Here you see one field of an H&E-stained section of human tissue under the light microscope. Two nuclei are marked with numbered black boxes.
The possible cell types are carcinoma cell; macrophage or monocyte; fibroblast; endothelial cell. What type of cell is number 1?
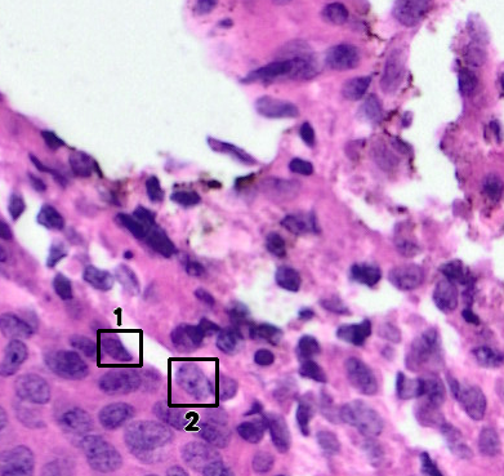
carcinoma cell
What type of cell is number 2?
macrophage or monocyte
